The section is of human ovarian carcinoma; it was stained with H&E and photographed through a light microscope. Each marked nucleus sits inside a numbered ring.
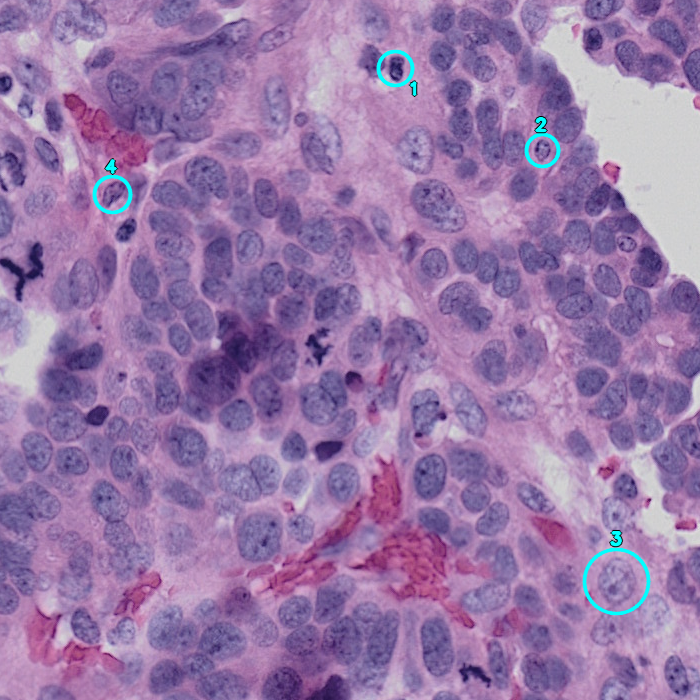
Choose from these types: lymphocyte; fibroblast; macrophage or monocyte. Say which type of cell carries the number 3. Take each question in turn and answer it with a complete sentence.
The one numbered 3 among the marked cells is a fibroblast.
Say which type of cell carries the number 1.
The nucleus labeled 1 belongs to a lymphocyte.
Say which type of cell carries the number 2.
The cell with the number 2 is a macrophage or monocyte.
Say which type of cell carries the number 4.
Cell 4 is classified as a macrophage or monocyte.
